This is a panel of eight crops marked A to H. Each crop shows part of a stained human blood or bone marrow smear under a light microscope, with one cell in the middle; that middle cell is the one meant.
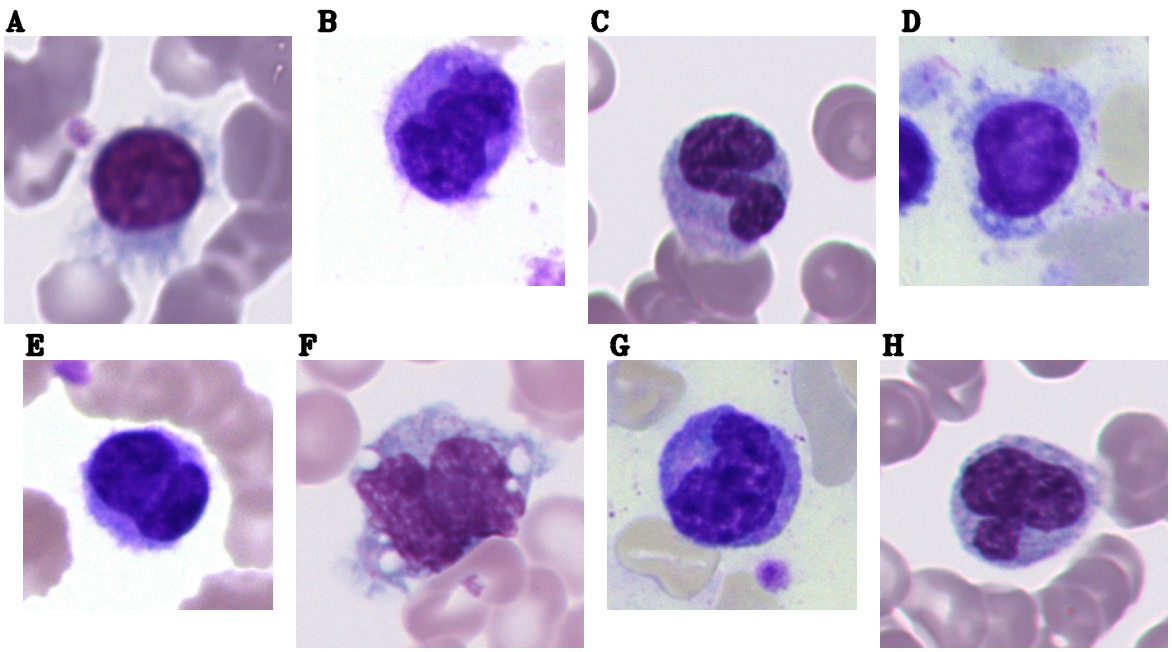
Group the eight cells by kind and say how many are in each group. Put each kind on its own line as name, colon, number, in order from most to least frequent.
monocyte: 5
hairy cell: 3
